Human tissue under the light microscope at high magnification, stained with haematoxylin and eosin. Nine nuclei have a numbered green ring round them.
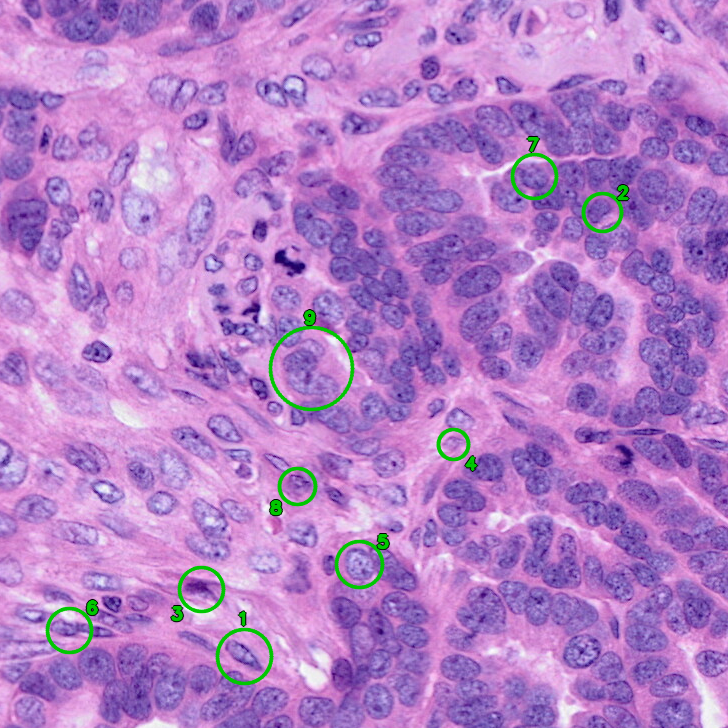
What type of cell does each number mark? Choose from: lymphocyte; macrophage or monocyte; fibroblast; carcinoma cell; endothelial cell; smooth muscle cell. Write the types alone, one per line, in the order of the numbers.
fibroblast
carcinoma cell
fibroblast
fibroblast
carcinoma cell
fibroblast
carcinoma cell
endothelial cell
carcinoma cell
